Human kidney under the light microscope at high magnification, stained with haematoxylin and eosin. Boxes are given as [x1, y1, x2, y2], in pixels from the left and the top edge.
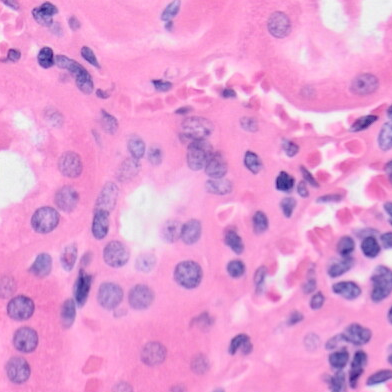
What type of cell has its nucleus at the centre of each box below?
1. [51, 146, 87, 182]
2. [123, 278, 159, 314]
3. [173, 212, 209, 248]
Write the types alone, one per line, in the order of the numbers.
proximal tubule cell
collecting duct cell
collecting duct cell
